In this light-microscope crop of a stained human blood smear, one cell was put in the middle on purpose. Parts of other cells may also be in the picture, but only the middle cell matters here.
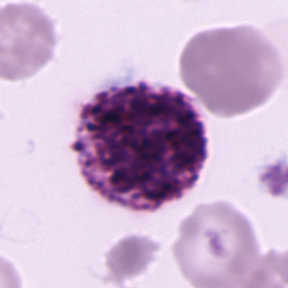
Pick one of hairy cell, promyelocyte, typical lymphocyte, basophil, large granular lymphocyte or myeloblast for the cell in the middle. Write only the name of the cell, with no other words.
basophil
